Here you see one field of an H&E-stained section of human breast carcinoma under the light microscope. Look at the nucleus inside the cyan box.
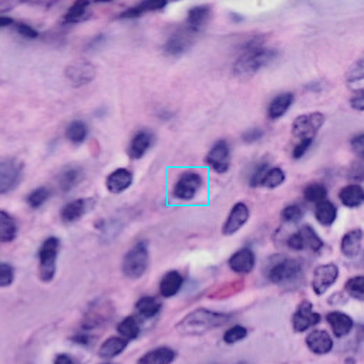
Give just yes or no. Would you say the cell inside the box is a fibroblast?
no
